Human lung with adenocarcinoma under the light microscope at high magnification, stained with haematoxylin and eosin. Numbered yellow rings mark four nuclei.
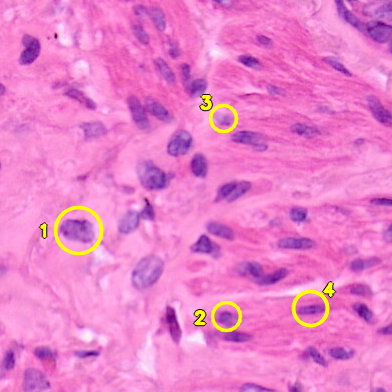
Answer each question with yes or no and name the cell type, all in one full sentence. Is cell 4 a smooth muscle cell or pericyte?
Yes, the cell with the number 4 is a smooth muscle cell or pericyte.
